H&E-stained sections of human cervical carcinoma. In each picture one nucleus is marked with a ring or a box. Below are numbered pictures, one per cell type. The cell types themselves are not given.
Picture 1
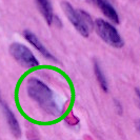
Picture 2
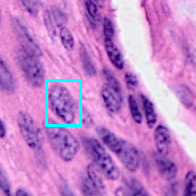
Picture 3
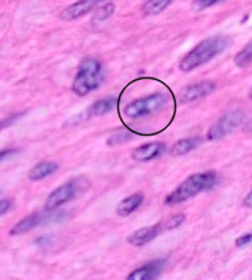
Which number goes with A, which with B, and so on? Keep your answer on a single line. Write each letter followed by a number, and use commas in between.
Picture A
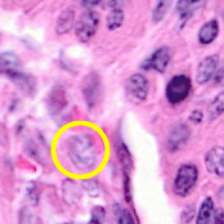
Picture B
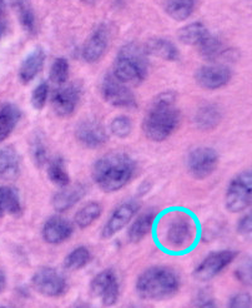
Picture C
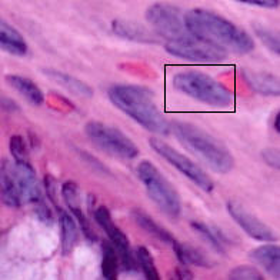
A 1, B 2, C 1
